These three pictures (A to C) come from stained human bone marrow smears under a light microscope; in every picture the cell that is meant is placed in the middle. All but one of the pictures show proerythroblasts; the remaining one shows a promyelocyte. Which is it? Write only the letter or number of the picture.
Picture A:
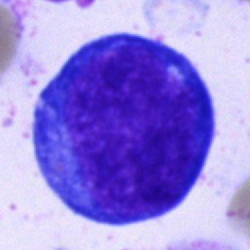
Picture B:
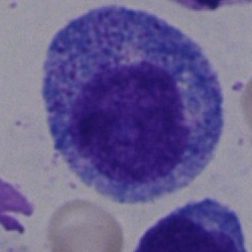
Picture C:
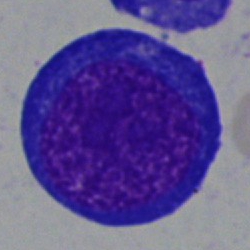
B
